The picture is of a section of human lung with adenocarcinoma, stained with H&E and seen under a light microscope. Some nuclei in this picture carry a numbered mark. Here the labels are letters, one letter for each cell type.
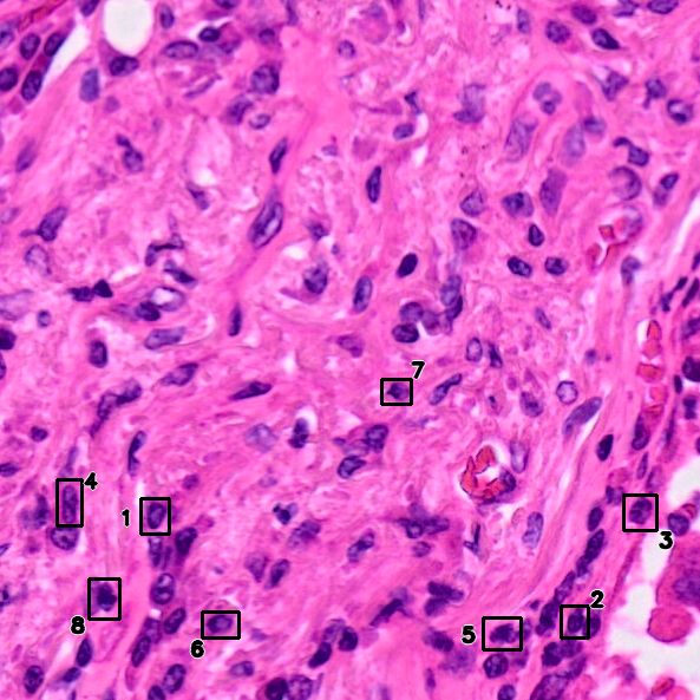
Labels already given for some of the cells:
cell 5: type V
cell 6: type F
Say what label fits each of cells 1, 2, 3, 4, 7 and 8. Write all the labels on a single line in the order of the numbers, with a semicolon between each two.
type F; type V; type V; type F; type F; type V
